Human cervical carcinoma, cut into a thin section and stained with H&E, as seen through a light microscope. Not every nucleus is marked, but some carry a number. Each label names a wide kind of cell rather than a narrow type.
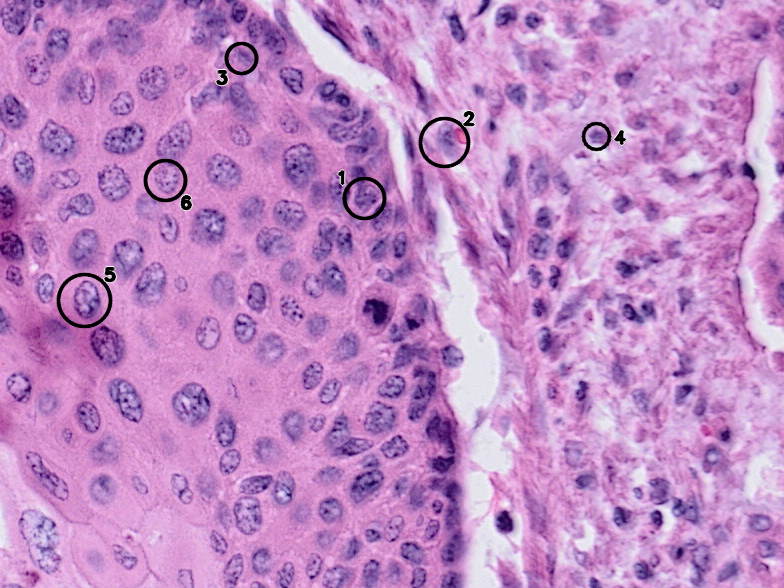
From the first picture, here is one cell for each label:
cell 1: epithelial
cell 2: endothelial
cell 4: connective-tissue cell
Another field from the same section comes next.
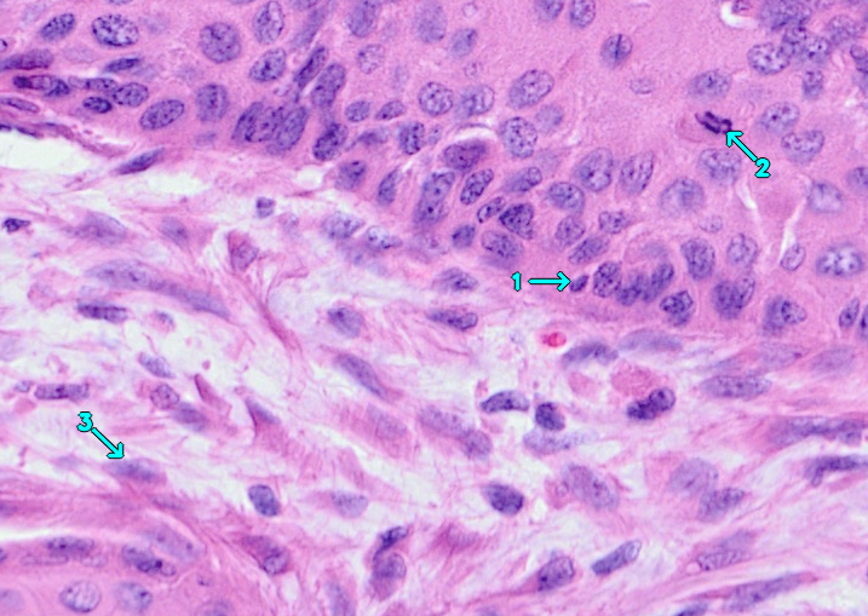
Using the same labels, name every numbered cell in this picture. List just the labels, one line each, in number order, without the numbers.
epithelial
epithelial
connective-tissue cell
